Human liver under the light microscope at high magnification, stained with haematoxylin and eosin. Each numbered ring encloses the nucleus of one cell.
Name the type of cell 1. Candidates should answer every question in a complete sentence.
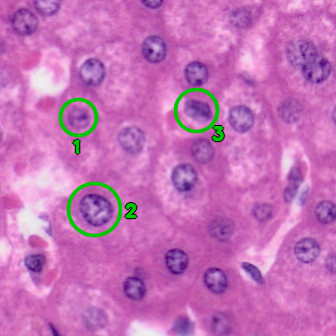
Cell 1, among those numbered, is a hepatocyte.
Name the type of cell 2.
Cell 2, among those numbered, is a hepatocyte.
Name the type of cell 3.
In this section, the cell tagged 3 is an endothelial cell.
